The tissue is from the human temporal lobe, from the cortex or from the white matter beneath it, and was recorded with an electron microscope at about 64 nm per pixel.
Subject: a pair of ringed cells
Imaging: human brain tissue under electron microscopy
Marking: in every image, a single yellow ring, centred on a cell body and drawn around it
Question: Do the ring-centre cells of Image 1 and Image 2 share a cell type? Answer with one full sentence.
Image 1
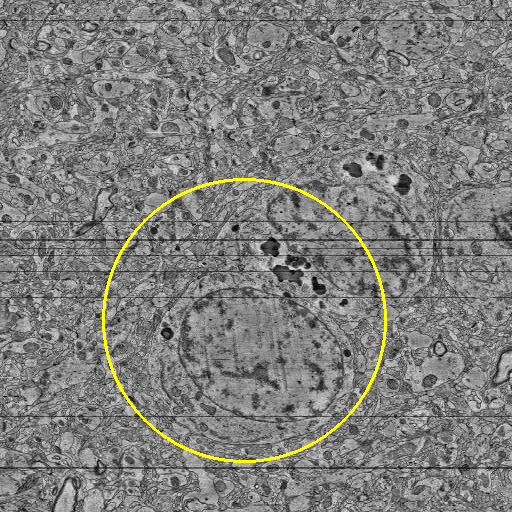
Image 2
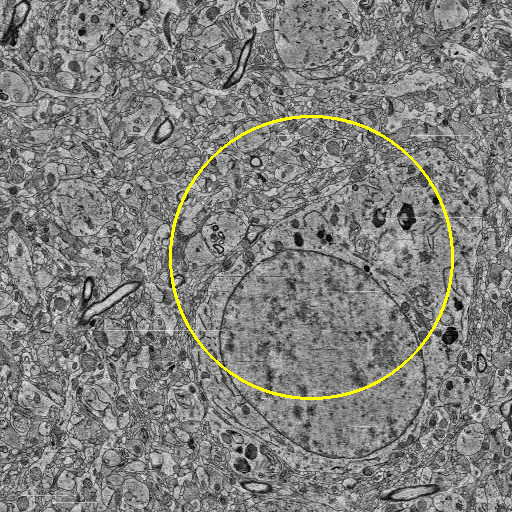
Yes, at each ring's centre in the images sits a cell of one common type.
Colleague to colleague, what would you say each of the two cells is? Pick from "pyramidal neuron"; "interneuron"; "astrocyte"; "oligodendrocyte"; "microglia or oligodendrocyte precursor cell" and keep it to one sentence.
Each cell, in the first picture and the second, is a pyramidal neuron.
